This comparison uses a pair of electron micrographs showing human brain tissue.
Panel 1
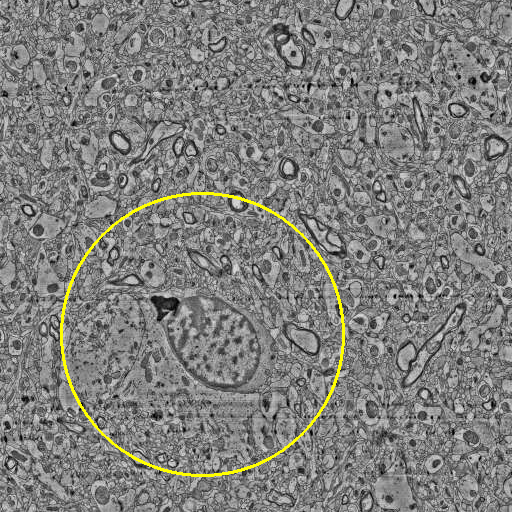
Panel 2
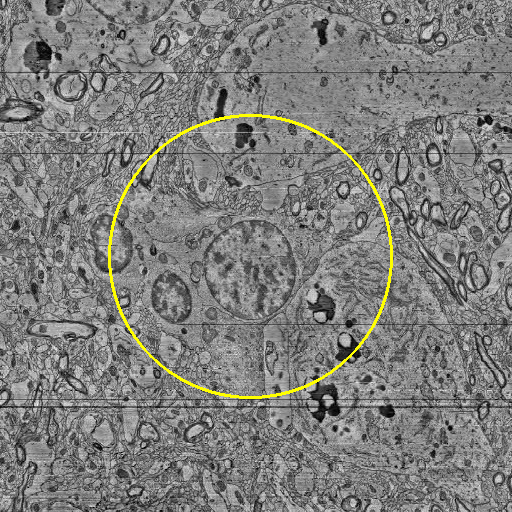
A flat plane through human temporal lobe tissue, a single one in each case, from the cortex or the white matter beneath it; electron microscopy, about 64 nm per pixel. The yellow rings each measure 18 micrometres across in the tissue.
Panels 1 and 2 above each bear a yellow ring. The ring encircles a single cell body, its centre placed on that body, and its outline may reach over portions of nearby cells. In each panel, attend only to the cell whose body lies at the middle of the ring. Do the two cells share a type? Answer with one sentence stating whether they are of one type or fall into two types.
In Panel 1 and Panel 2, the cells at the centres of the rings are of one type.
